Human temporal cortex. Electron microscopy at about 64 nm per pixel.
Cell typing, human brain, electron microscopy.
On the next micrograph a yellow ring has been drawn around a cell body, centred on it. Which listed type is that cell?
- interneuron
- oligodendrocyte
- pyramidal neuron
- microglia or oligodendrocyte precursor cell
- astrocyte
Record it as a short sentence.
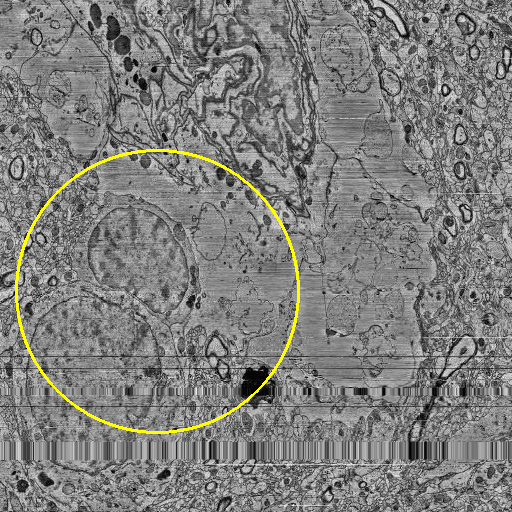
The cell body in the ring's centre belongs to an oligodendrocyte.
